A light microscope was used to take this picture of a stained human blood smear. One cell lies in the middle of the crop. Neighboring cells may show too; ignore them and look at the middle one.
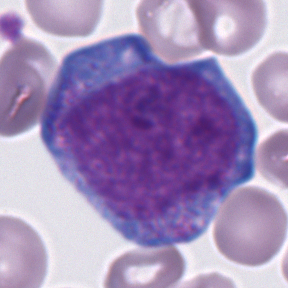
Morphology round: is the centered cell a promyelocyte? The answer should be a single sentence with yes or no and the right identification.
Yes, the cell of interest in the centre is a promyelocyte.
